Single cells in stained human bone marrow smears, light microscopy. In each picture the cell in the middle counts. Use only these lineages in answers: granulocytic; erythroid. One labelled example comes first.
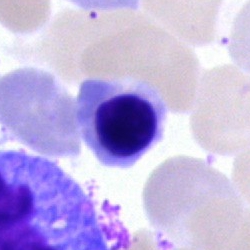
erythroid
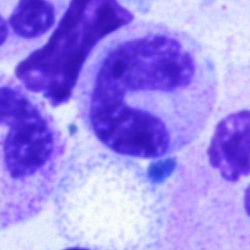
granulocytic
